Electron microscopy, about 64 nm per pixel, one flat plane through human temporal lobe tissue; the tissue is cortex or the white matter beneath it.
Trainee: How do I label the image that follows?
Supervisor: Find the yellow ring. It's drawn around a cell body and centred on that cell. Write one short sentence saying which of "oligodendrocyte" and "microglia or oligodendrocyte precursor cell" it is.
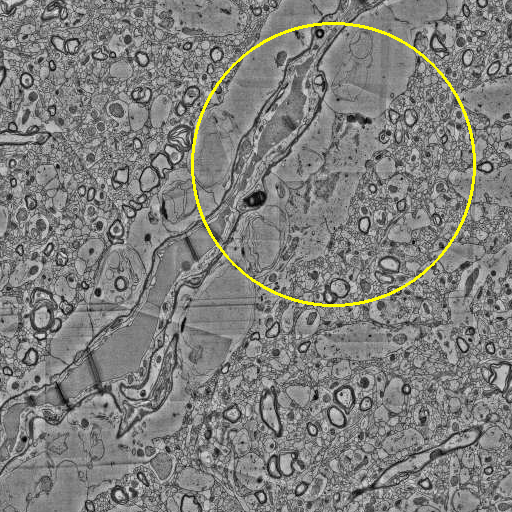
This is the cell body of a microglial cell or oligodendrocyte precursor cell.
